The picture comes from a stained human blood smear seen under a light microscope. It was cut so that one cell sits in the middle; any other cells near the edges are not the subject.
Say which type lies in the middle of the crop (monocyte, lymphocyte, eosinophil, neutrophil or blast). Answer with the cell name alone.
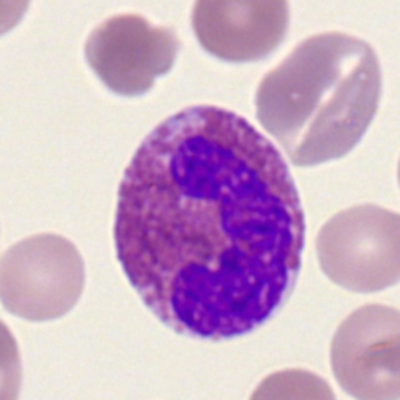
eosinophil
